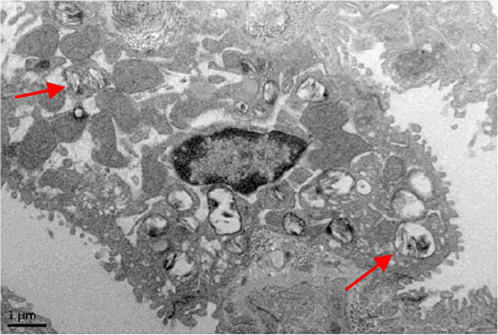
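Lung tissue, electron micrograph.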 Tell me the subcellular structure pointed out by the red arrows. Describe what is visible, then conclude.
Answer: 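Lamellar bodies. Many round membrane-bound inclusions scattered through the cytoplasm. The inclusions hold dark, stacked or whorled membranous material. The cell surface carries many short microvilli.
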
